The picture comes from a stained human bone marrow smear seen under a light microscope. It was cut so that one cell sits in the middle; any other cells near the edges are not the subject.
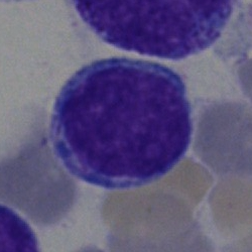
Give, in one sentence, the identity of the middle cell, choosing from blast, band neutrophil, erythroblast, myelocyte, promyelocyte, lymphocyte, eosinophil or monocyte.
The middle of this crop holds a blast.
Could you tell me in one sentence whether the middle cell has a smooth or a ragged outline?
Thanks for asking; the cell edge is smooth and has no projections.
